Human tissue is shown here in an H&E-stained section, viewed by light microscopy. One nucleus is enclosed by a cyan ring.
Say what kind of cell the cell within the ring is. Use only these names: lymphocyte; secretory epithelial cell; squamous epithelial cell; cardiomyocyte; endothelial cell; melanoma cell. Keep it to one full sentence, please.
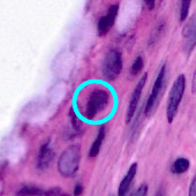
In the tissue at hand, the cell within the ring is a secretory epithelial cell.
